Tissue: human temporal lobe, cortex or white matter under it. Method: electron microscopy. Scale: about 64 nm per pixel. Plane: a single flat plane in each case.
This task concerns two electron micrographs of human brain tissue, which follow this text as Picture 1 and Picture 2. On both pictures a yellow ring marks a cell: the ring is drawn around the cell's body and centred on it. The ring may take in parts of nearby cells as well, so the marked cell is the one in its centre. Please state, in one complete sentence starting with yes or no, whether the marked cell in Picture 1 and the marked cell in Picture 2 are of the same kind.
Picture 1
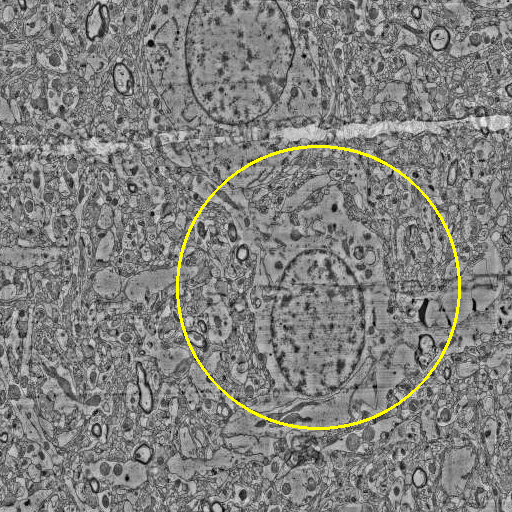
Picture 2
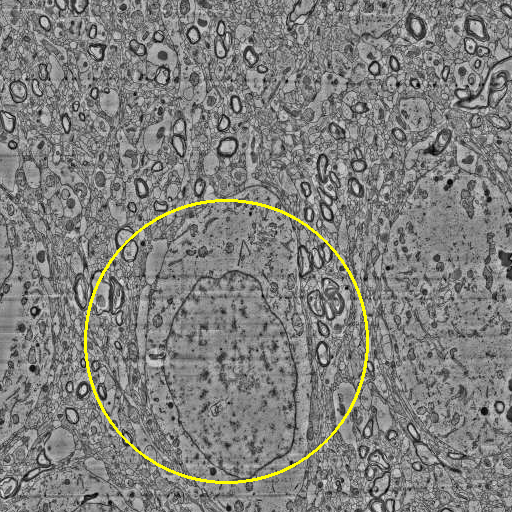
No, the marked cells in the two pictures are of two kinds.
